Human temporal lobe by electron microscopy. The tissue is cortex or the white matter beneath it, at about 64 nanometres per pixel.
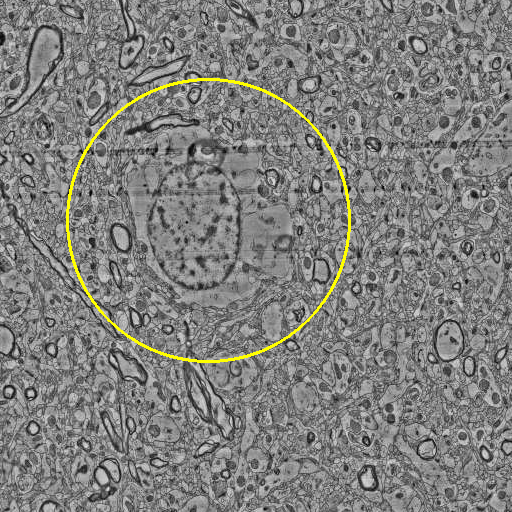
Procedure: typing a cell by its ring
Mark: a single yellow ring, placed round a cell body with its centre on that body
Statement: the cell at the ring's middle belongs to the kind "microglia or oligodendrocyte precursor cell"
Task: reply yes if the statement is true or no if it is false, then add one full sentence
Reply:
No, this is false: the cell at the ring's centre in the picture belongs to some other kind.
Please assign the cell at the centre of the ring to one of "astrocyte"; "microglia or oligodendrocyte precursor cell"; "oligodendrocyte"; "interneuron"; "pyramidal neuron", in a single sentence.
The cell circled by the yellow ring is an astrocyte.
